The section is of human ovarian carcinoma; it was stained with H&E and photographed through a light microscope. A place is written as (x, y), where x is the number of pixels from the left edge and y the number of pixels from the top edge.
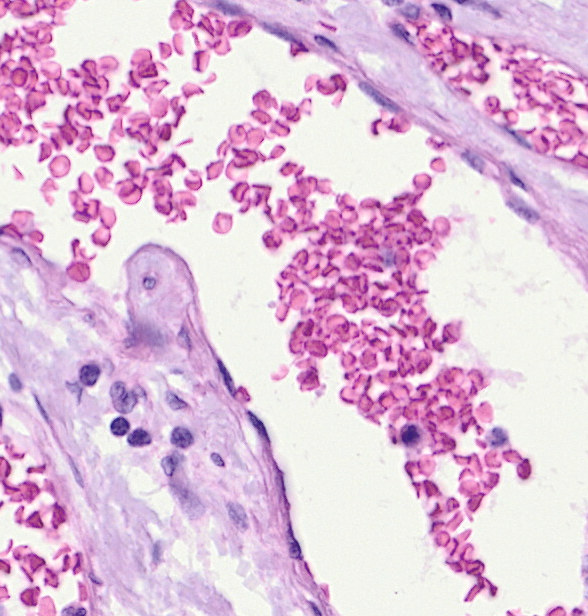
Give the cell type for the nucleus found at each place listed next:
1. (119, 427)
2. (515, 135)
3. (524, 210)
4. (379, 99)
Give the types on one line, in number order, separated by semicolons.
lymphocyte; endothelial cell; endothelial cell; endothelial cell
